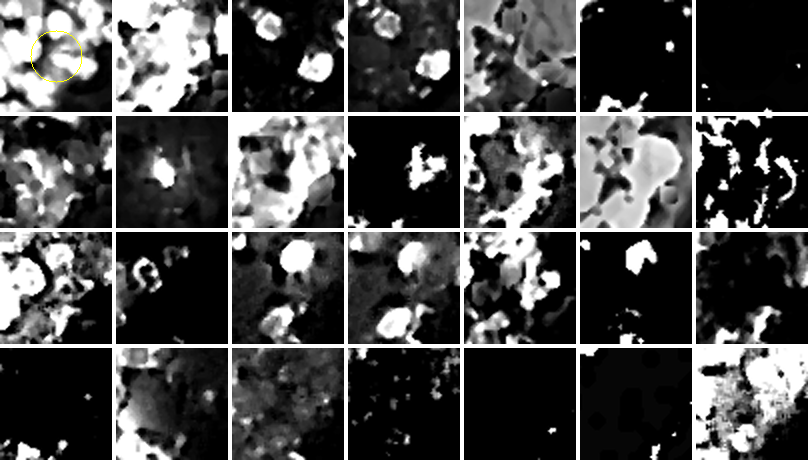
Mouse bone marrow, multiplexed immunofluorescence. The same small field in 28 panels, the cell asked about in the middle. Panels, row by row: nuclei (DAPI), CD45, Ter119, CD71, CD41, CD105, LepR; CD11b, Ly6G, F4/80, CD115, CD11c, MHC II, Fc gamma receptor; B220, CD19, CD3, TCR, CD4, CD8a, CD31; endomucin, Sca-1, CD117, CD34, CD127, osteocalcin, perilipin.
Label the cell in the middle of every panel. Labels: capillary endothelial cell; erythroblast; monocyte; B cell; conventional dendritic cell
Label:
conventional dendritic cell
